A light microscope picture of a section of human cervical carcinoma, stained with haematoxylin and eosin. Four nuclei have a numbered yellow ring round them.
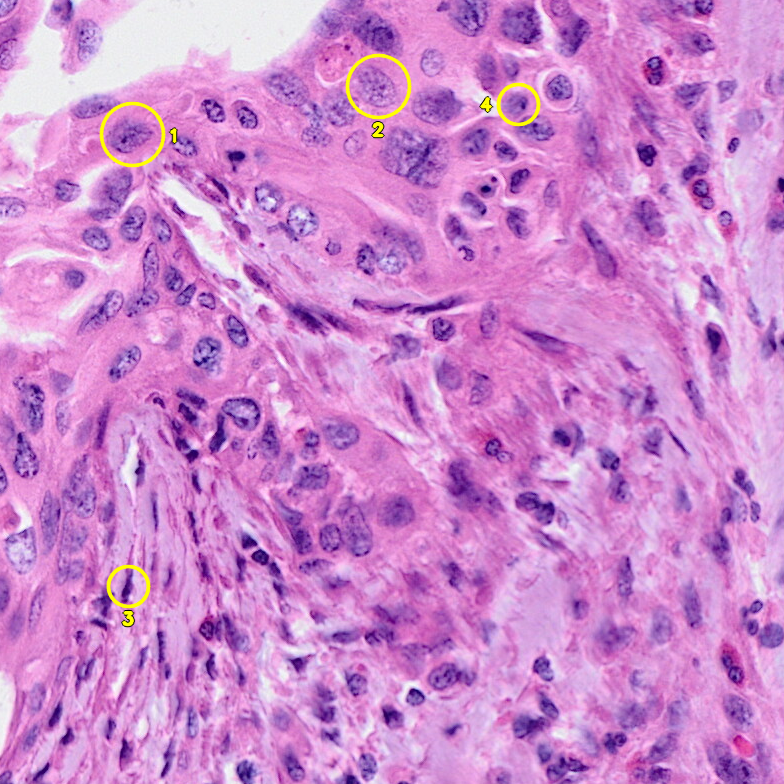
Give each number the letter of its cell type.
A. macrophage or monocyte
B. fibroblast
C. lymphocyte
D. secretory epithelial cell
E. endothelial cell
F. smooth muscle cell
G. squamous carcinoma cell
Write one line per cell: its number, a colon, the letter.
1: G
2: G
3: B
4: G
